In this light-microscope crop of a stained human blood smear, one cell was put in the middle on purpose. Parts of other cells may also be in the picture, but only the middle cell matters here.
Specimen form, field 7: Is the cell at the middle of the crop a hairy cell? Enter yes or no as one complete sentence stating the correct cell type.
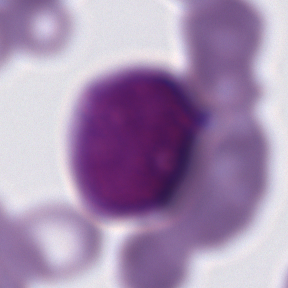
No, this cell in the middle is a smudge cell, so it is not a hairy cell.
